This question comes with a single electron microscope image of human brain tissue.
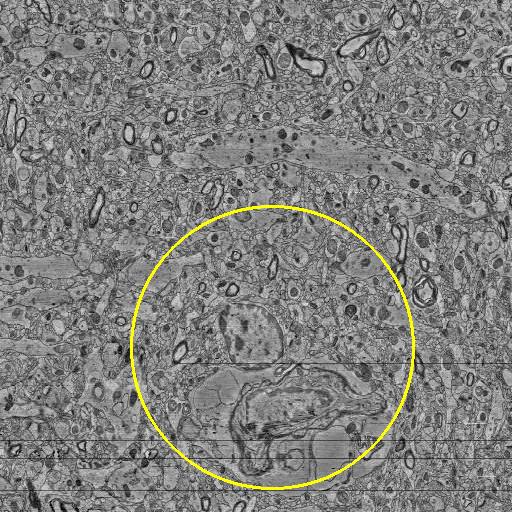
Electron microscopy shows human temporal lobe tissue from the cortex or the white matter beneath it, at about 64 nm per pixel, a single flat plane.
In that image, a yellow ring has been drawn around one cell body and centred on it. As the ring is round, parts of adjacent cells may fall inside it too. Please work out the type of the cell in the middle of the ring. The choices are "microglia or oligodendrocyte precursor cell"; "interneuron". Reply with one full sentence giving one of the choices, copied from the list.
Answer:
Of the choices, a microglial cell or oligodendrocyte precursor cell is the cell sitting in the middle of the ring.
